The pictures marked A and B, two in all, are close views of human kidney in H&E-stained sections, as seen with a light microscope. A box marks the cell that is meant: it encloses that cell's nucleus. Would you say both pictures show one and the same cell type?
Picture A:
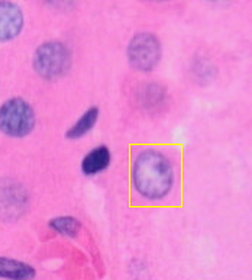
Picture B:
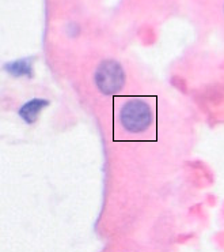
yes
